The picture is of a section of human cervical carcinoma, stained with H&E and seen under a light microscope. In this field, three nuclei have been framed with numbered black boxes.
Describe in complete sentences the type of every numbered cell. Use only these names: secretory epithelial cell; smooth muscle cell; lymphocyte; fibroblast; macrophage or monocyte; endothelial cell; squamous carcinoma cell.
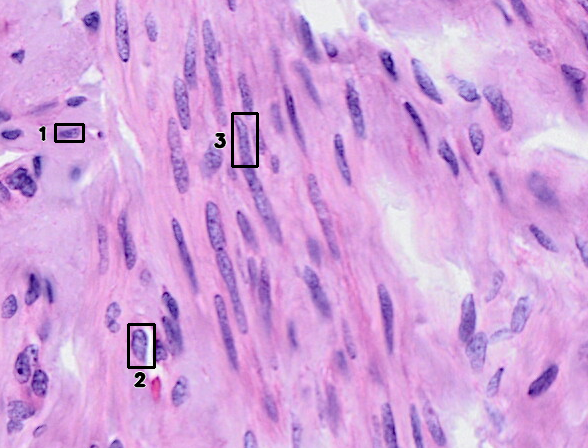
Cell 1 is a fibroblast, cell 2 is an endothelial cell and cell 3 is a smooth muscle cell.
